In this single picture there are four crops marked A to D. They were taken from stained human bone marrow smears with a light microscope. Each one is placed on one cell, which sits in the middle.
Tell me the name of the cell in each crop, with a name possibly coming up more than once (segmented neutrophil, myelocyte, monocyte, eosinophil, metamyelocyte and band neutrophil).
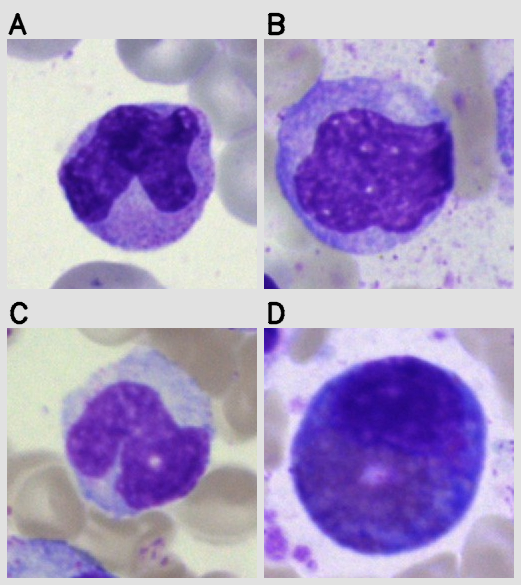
A: monocyte
B: monocyte
C: monocyte
D: eosinophil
